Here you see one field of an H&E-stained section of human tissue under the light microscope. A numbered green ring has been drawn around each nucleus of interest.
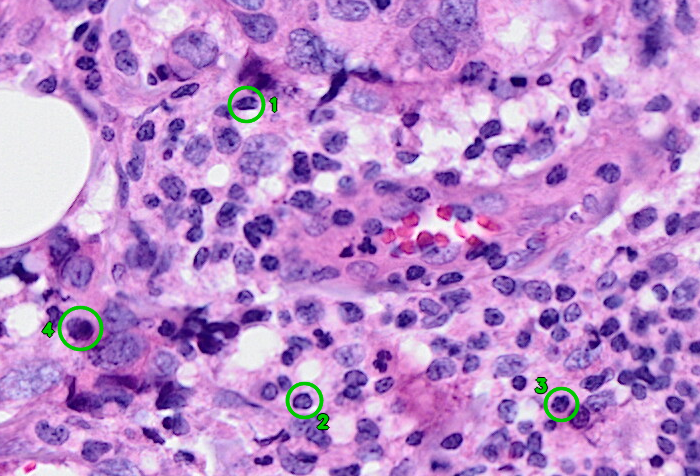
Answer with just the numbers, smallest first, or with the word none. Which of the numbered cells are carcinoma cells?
4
